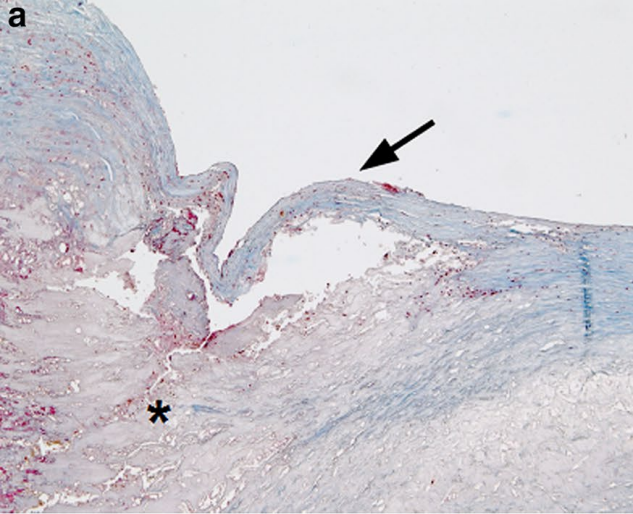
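This is a section of an atherosclerotic plaque in which a thin blue fibrous layer runs along the luminal surface and folds over a deeper pale region. Beneath this cap lies a loose, largely acellular area with clefts and scattered red-stained material, the necrotic core. To the right the wall is denser and more strongly blue, with parallel collagen fibres. The cap is thin but continuous, with no breach of the surface, fitting a thin cap fibroatheroma without ulceration.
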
